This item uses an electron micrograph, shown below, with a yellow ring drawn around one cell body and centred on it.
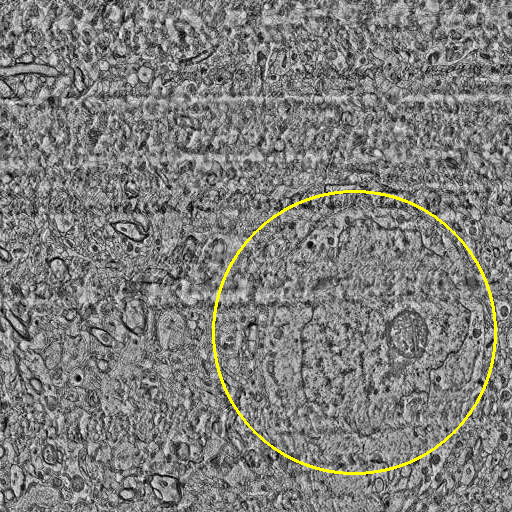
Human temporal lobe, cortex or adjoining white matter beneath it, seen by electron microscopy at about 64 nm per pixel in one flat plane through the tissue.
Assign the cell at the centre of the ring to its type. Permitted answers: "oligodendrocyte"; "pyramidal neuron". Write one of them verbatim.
pyramidal neuron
